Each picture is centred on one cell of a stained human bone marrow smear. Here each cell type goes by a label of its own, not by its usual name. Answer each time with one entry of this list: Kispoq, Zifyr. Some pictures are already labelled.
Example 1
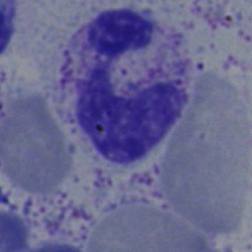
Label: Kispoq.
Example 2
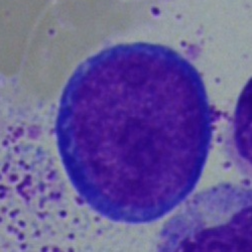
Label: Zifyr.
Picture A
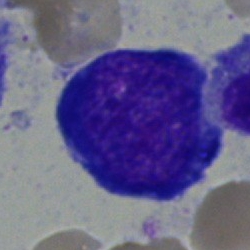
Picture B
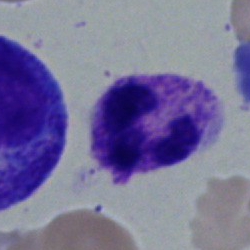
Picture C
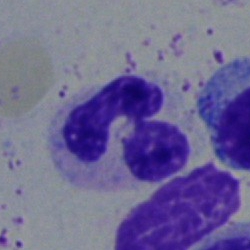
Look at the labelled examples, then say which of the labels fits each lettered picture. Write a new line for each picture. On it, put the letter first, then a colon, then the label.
A: Zifyr.
B: Kispoq.
C: Kispoq.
